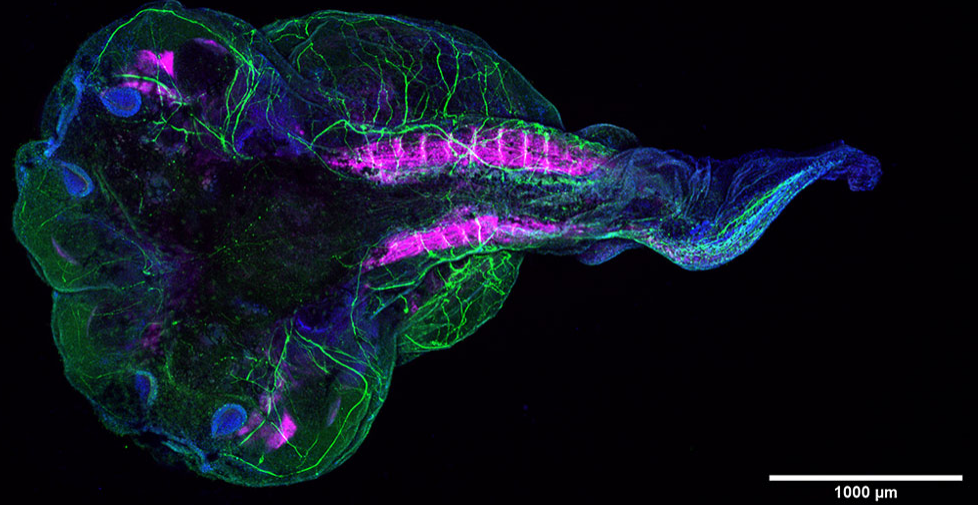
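A whole tadpole-stage embryo has two head lobes joined to a single trunk, each lobe with a pair of eyes seen as blue rounded cups, and fine green fibres branching over the heads and trunk. Along the trunk, two pink bands of repeated segmented blocks run either side of the midline, and the trunk tapers into a short tail that bends and twists. This is a two-headed embryo with a short, twisted tail.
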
